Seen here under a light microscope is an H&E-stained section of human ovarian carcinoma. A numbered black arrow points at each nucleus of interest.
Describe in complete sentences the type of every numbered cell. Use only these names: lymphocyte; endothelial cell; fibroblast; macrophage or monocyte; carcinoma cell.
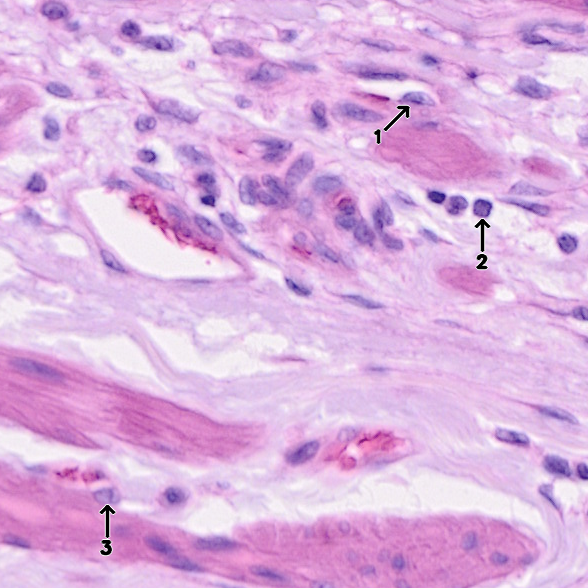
Cells 1 and 3 are endothelial cells. Cell 2 is a lymphocyte.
